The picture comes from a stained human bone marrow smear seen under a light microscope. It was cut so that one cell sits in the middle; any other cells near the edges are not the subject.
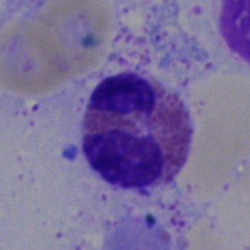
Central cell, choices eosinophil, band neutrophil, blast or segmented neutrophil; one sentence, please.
At the crop's centre, the cell is an eosinophil.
